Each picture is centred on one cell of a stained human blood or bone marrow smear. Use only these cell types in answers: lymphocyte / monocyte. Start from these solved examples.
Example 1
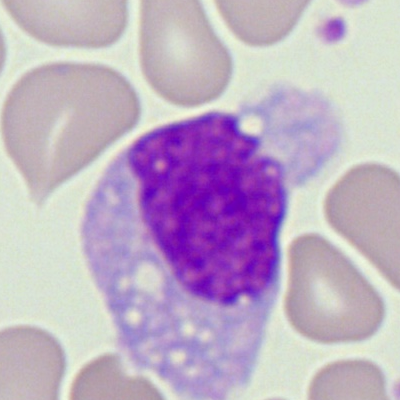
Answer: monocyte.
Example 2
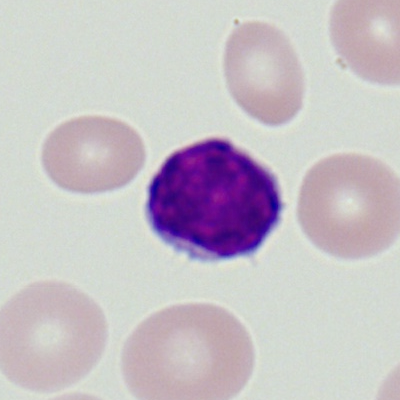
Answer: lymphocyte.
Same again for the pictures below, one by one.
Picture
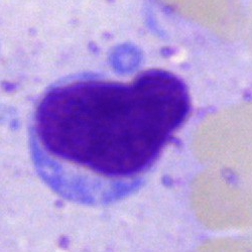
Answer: lymphocyte.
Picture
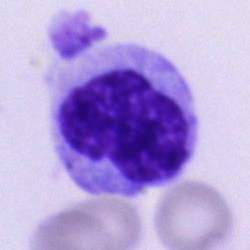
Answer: monocyte.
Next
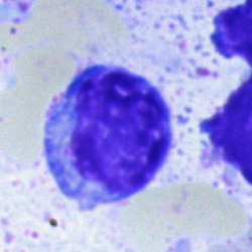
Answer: lymphocyte.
